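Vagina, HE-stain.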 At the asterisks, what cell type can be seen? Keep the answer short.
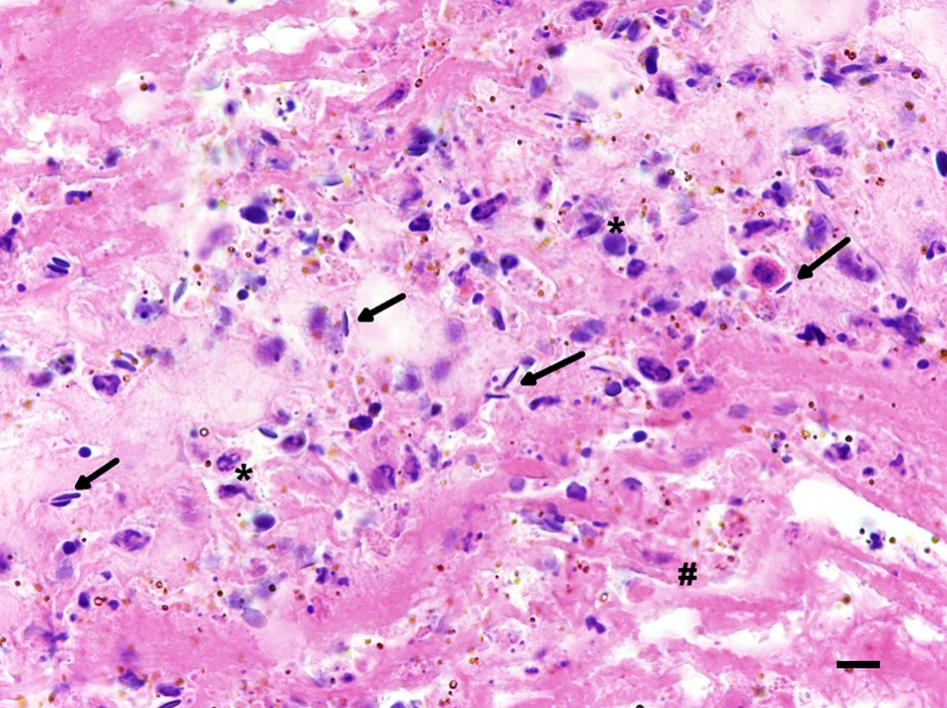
Inflammatory cells.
